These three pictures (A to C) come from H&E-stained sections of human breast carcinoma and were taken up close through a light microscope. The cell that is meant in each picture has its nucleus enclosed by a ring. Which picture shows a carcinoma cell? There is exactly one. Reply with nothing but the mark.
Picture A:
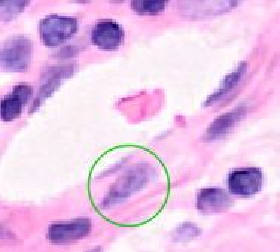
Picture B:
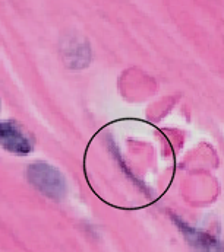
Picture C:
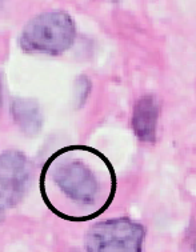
C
